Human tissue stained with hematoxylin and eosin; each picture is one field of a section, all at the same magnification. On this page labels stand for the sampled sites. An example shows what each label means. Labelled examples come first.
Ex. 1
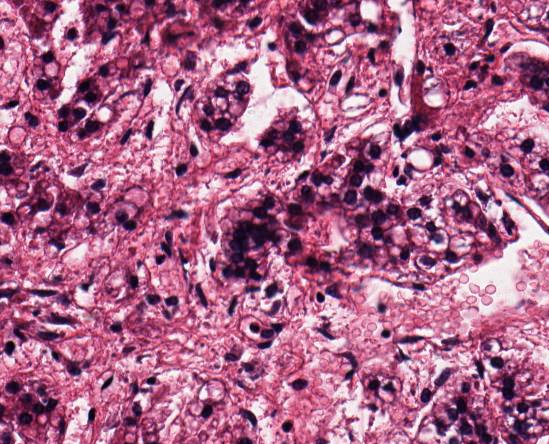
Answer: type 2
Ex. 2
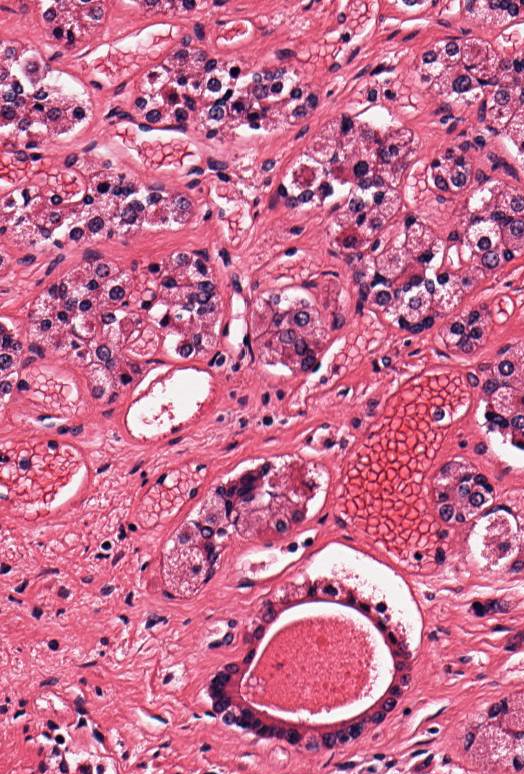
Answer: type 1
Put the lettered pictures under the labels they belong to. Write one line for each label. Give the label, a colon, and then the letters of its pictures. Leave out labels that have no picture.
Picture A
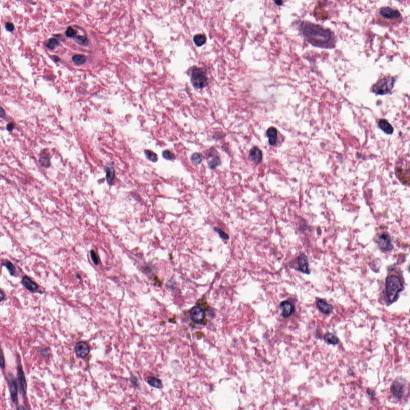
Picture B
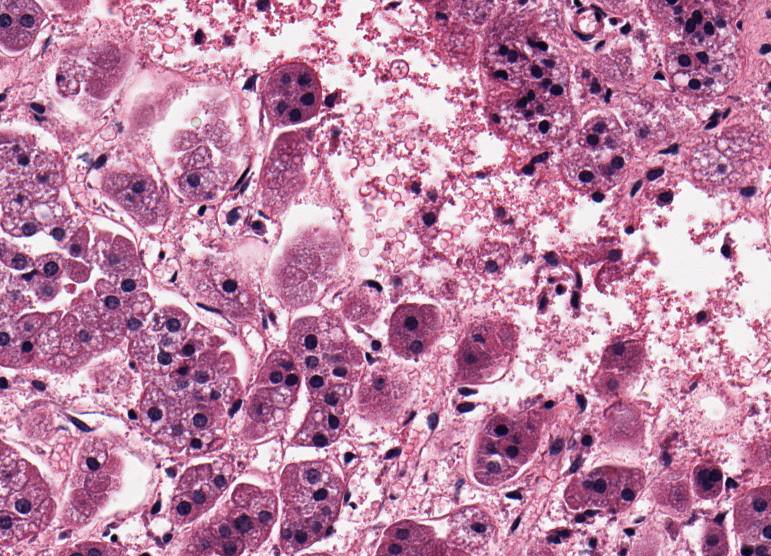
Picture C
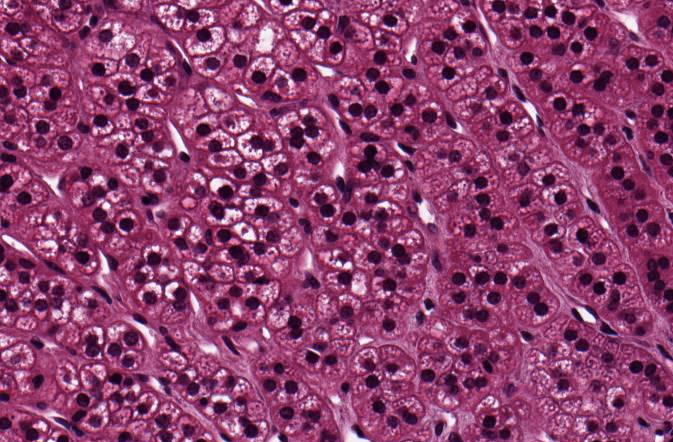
type 2: B, C
type 1: A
